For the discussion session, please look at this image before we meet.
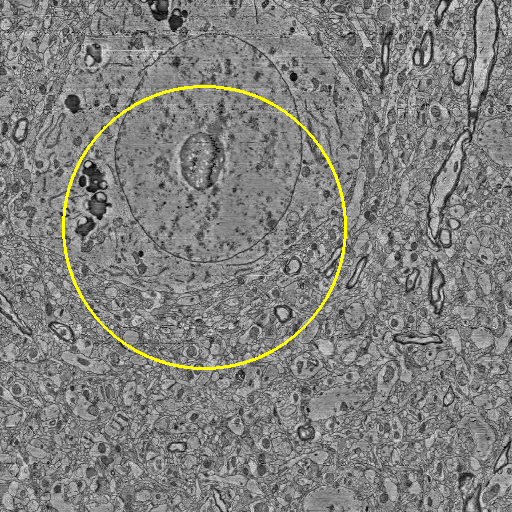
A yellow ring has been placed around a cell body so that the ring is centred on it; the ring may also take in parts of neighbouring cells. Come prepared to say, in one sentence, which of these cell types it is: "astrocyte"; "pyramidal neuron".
The cell centred in the ring is a pyramidal neuron.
